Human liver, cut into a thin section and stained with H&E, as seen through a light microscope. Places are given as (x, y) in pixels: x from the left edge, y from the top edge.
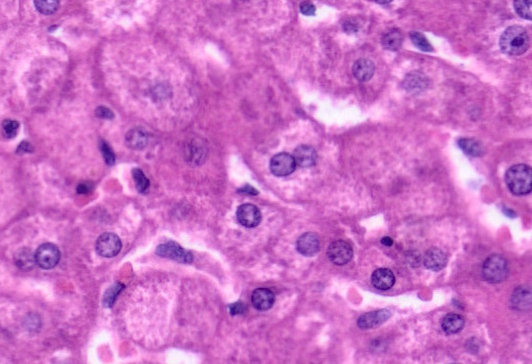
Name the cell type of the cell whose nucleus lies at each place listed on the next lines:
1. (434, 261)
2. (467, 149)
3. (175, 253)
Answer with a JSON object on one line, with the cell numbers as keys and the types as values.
{"1": "hepatocyte", "2": "Kupffer cell", "3": "Kupffer cell"}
